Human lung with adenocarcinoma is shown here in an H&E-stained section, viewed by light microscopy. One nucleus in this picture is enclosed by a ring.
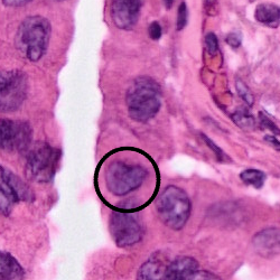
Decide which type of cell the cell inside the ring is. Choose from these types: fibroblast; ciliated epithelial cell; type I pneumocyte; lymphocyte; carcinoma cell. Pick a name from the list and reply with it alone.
carcinoma cell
